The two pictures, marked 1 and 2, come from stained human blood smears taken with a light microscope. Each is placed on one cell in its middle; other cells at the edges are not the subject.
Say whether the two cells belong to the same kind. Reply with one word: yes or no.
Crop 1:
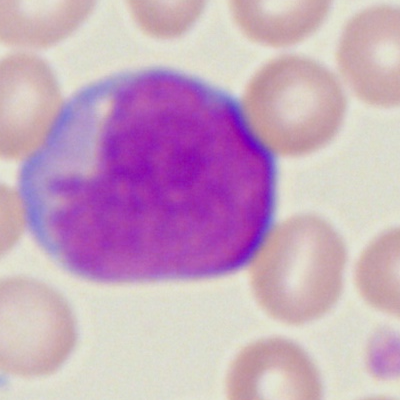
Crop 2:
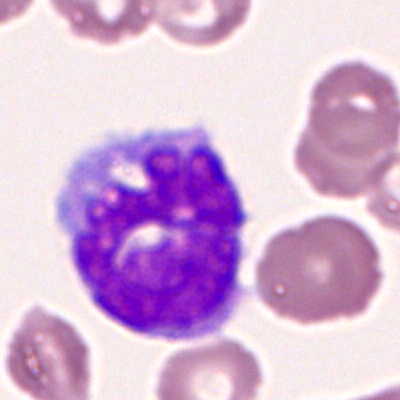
no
